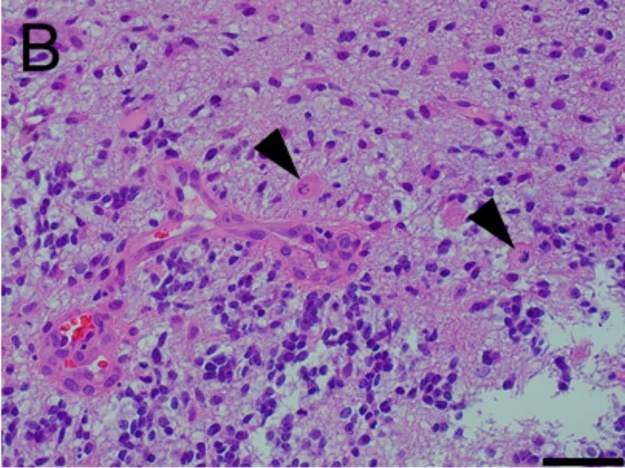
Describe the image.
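This is a glial tumor seen at high power in a pink-and-purple stain. The background is a fine, fibrillary pink meshwork in which many crowded tumor nuclei lie scattered without orderly arrangement. The nuclei are dark purple, oval to elongated and irregular, often with little visible cytoplasm. In the centre runs a branching blood vessel whose wall is thickened and built of several layers of plump cells around a narrow lumen containing red blood cells, a sign of abnormal vessel growth. Toward the bottom the tumor cells are densest, and a few rounded, pinker cells with condensed nuclear material stand out among them.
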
